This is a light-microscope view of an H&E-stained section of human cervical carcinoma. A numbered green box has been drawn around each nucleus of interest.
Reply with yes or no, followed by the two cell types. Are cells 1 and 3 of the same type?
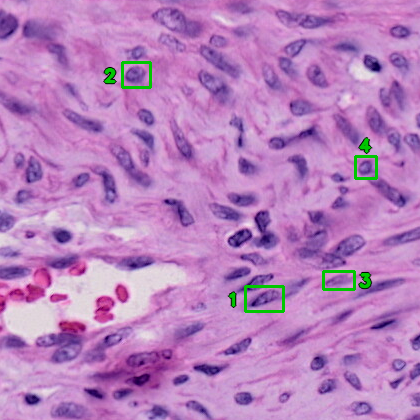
No, cell 1 is a fibroblast; as for cell 3, that one is a smooth muscle cell.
